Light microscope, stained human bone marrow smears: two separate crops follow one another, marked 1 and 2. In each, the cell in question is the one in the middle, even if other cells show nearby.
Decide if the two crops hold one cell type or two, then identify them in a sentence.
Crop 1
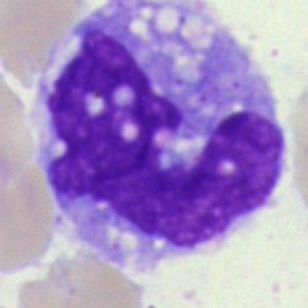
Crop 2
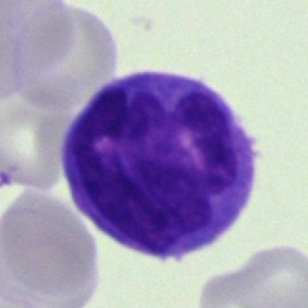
Yes, the cells in the centres of the two crops are monocytes.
